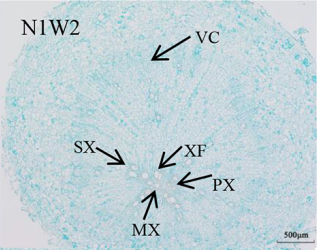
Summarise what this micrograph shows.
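This is a wide cross-section of a root, stained pale green, taken up almost entirely by thin-walled parenchyma cells. A few further vessels lie scattered just outside this core, and faint radial rows of cells run outward. The vascular cambium lies in the outer part of the section, far from the small central xylem.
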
